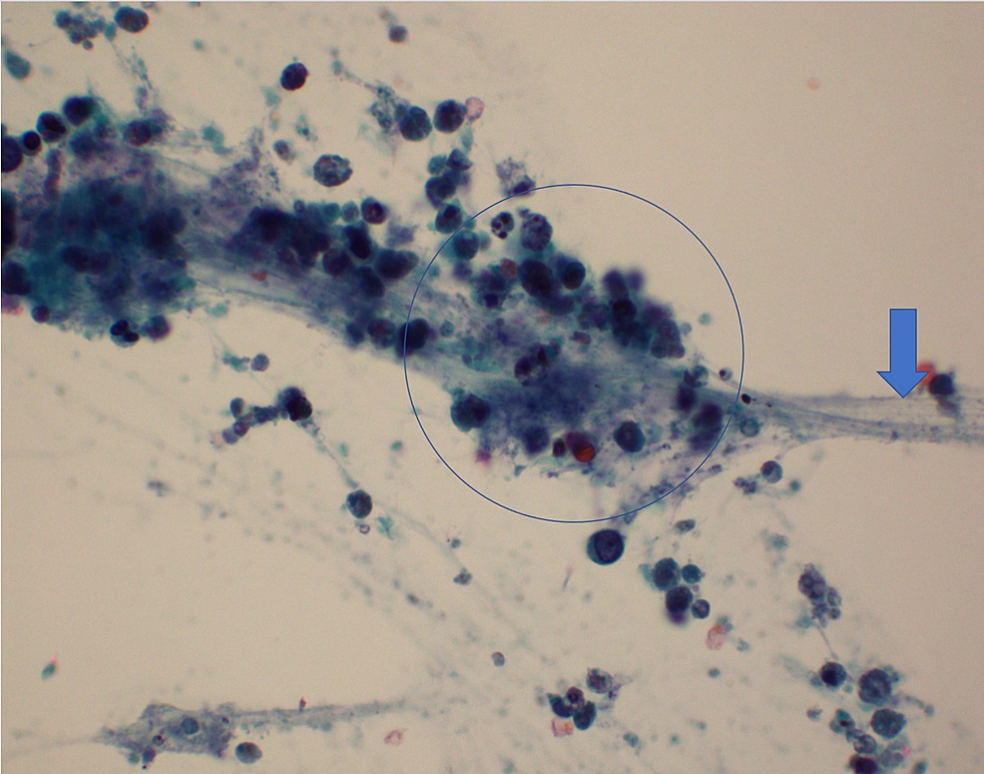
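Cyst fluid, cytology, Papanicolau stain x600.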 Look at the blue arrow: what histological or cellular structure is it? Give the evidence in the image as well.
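The arrow points to a pale bluish-green streaky strand without nuclei. The strand-like material runs across the field and trails the cell clusters.
Answer: mucin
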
